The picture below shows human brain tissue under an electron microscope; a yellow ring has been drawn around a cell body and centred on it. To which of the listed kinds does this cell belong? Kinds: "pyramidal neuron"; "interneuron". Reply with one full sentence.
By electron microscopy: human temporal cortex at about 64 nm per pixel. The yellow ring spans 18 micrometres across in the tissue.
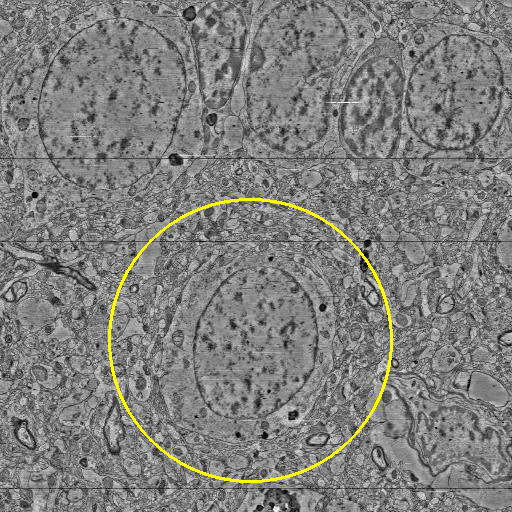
It is a pyramidal neuron that the yellow ring in the picture is centred on.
